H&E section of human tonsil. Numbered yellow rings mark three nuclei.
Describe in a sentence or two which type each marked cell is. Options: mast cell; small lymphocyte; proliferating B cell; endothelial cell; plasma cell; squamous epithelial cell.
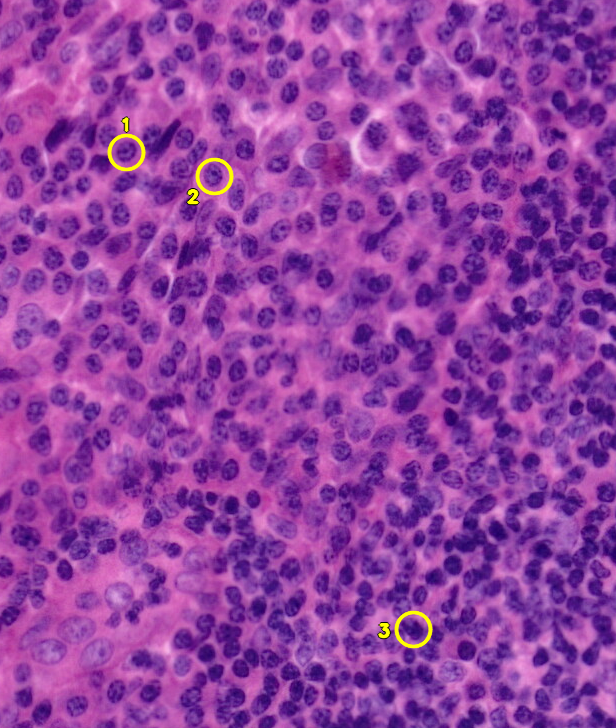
Cell 1 is a plasma cell, cell 2 is a plasma cell and cell 3 is a small lymphocyte.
